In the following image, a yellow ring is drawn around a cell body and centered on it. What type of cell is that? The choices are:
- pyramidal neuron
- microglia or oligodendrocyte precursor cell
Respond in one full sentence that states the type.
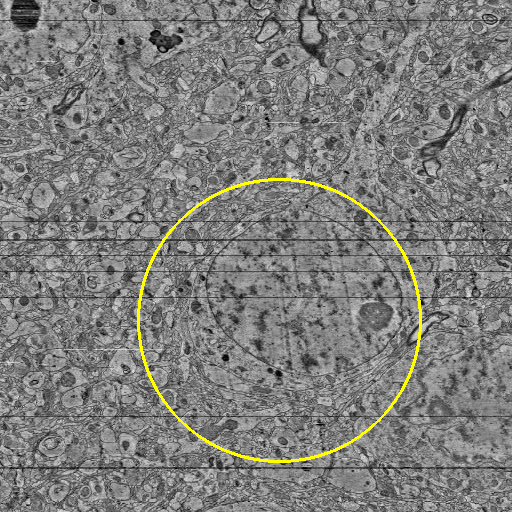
The cell at the center of the yellow ring in the image is a pyramidal neuron.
